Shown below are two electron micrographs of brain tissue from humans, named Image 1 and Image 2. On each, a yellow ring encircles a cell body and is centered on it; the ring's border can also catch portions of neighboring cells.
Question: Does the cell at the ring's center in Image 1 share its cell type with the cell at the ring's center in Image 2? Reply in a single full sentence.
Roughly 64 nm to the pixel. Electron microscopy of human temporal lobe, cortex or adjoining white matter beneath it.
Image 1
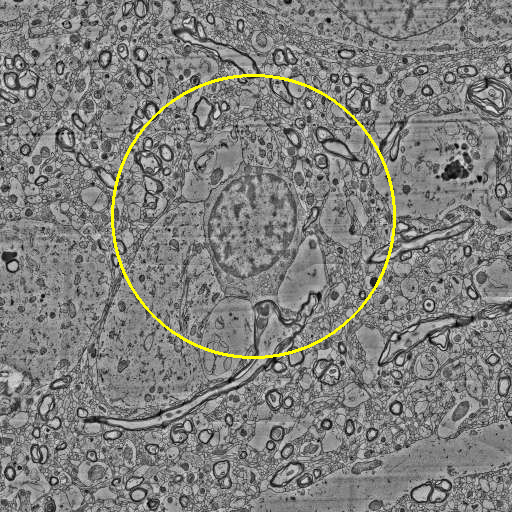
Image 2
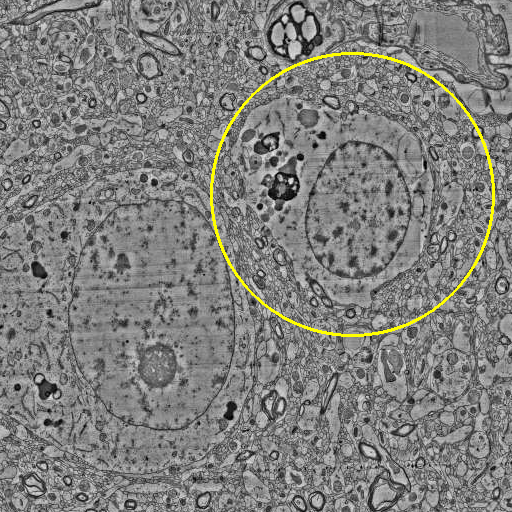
No, the two cells at the ring centers, in Image 1 and Image 2, are of two cell types.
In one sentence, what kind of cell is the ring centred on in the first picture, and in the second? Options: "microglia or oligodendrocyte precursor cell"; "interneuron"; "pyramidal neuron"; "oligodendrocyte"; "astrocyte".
The cell at the centre of the second ring is an astrocyte; the first ring's cell is an oligodendrocyte.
